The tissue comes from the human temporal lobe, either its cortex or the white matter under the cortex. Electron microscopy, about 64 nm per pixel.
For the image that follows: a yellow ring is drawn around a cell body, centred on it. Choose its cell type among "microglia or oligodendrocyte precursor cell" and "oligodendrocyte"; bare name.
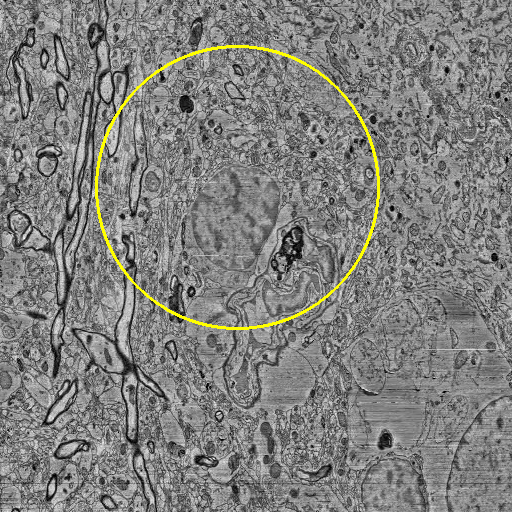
oligodendrocyte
